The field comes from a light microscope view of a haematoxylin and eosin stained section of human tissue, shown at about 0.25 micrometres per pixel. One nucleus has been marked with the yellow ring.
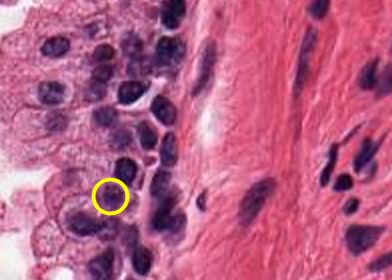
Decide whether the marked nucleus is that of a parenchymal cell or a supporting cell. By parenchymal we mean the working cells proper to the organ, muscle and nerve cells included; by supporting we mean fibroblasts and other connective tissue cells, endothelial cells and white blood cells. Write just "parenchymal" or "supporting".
parenchymal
